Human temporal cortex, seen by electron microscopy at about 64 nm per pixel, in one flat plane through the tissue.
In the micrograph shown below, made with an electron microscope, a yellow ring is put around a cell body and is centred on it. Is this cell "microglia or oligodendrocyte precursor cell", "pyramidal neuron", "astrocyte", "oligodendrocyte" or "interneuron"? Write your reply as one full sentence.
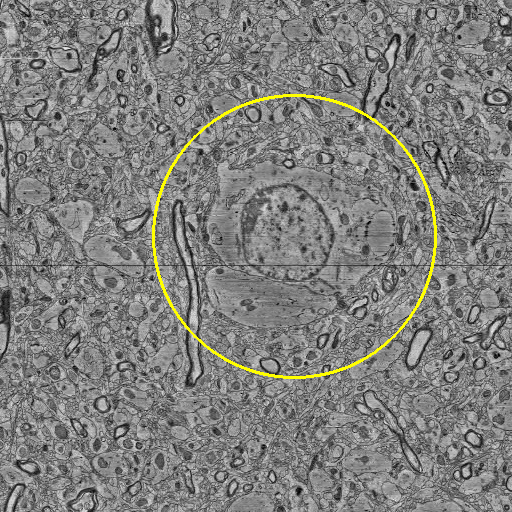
In the micrograph, an astrocyte is the cell at the centre of the yellow ring.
